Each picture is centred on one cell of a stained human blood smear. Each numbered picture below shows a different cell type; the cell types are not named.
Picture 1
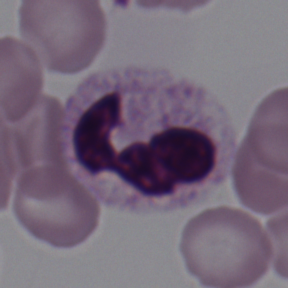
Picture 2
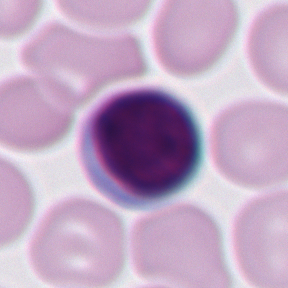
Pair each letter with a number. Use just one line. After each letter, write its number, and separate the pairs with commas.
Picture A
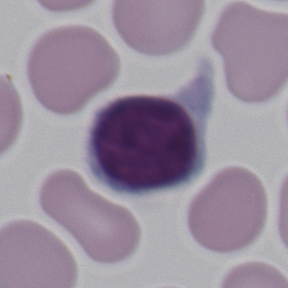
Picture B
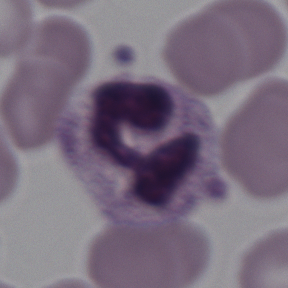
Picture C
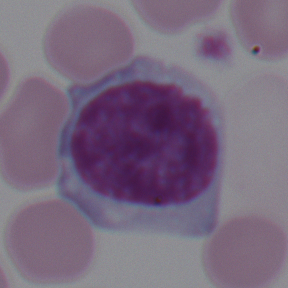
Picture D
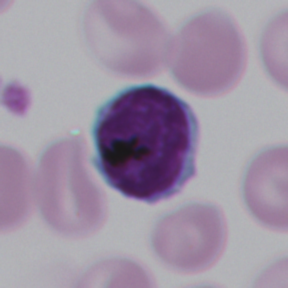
A 2, B 1, C 2, D 2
